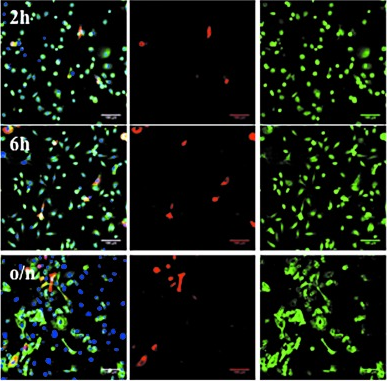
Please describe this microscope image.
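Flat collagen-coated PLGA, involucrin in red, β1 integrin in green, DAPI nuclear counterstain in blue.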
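Keratinocytes lie sparsely and singly over the surface, most of them small and rounded with green labelling, and have not joined into sheets. Only a few cells show red. In the lowest row, some cells have spread into larger, flattened, irregular shapes.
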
